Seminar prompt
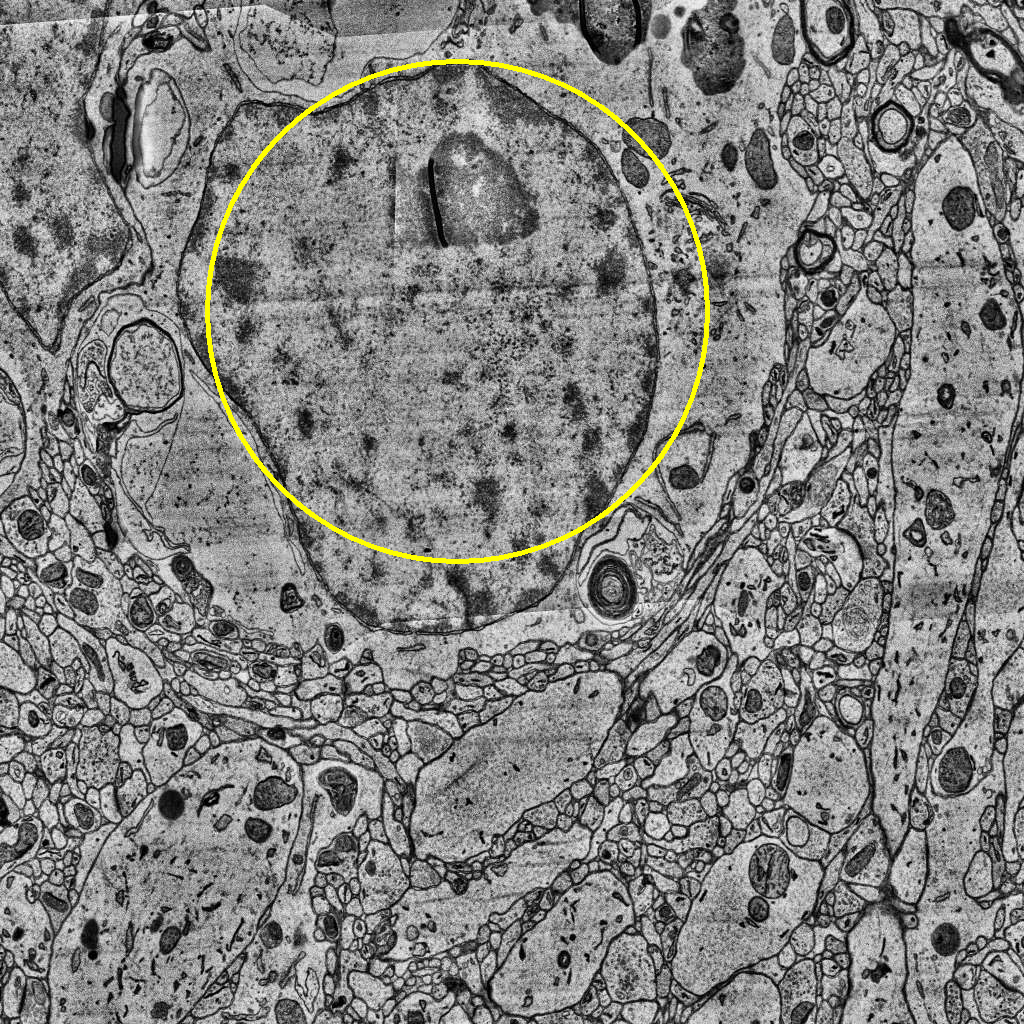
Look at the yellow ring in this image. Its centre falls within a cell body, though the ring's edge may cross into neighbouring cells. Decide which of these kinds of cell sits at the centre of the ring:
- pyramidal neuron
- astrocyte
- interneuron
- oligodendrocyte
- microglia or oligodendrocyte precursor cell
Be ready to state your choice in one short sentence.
The kind of cell at the ring's centre is an astrocyte.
